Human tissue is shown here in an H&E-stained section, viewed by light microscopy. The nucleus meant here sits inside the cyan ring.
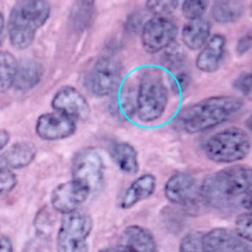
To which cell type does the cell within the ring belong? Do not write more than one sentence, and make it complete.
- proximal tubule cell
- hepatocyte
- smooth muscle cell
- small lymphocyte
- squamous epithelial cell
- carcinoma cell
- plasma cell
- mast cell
In this section of tissue, the cell within the ring is a carcinoma cell.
